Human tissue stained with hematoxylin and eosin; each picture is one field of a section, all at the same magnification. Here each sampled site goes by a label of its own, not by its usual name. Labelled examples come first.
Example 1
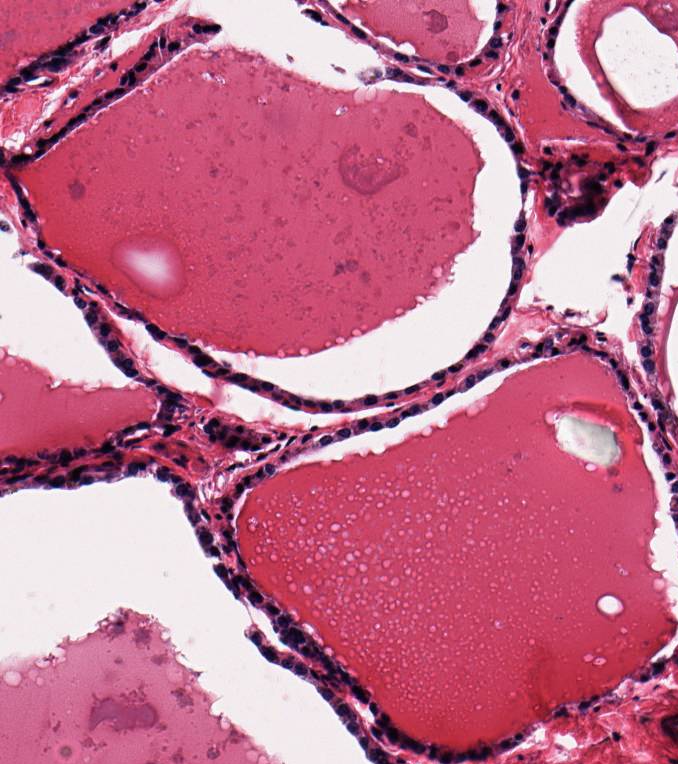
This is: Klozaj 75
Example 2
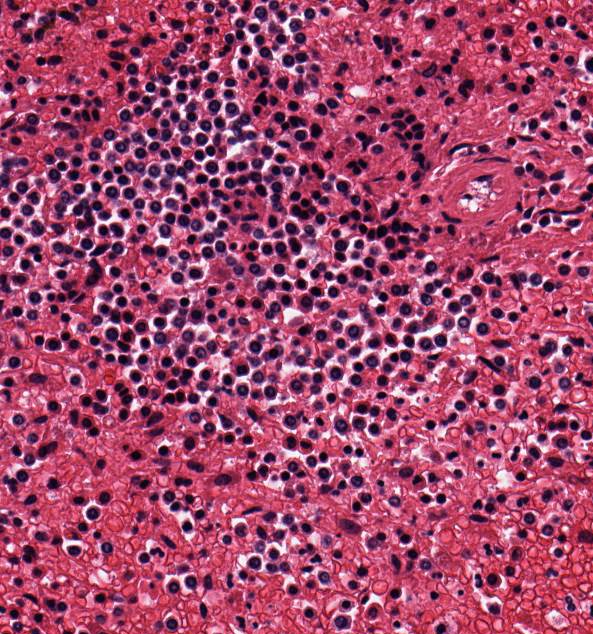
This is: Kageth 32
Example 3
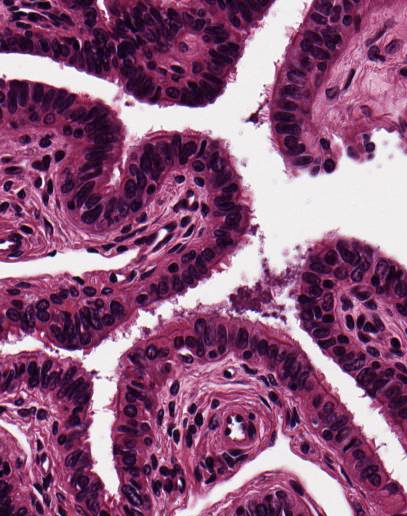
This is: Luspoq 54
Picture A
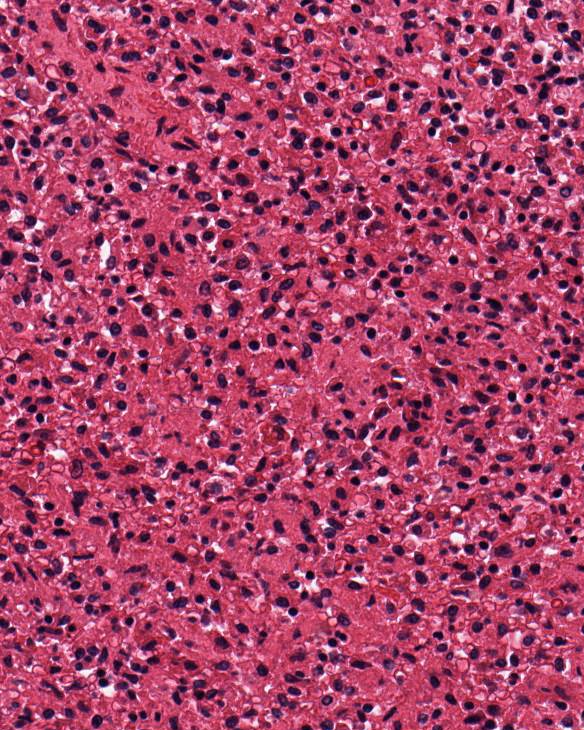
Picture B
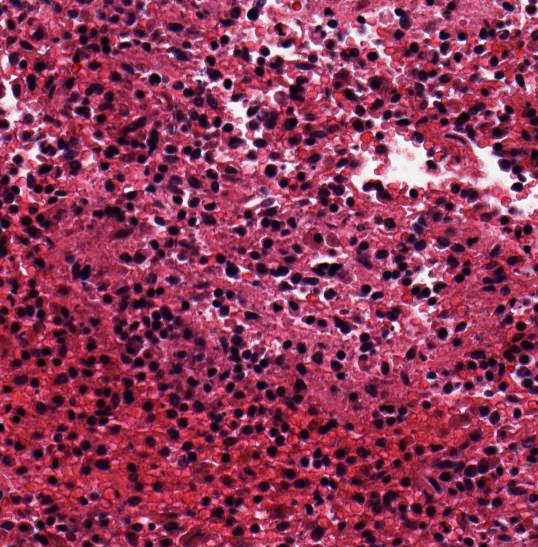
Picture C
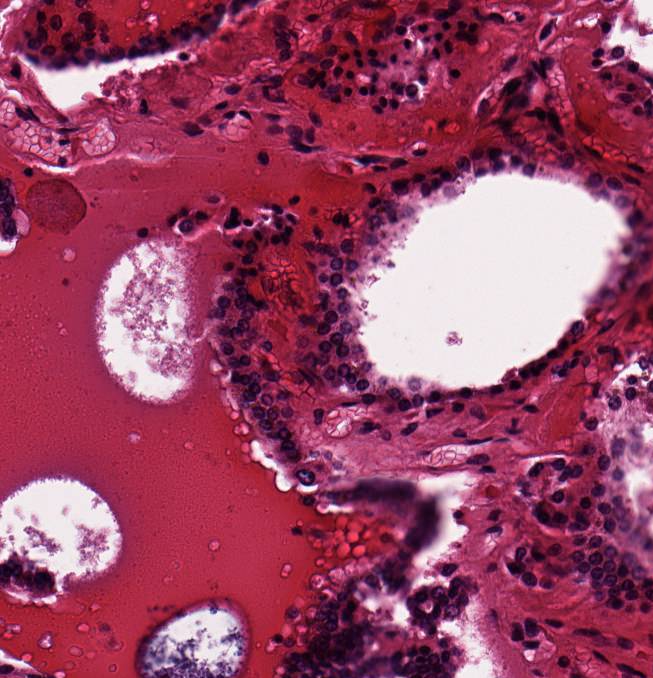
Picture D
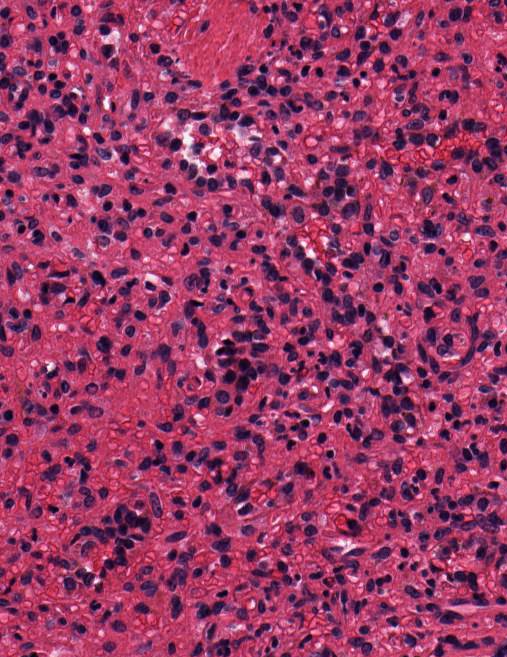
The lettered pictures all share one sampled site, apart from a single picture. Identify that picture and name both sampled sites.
Odd one out: C (Klozaj 75). The rest: Kageth 32.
